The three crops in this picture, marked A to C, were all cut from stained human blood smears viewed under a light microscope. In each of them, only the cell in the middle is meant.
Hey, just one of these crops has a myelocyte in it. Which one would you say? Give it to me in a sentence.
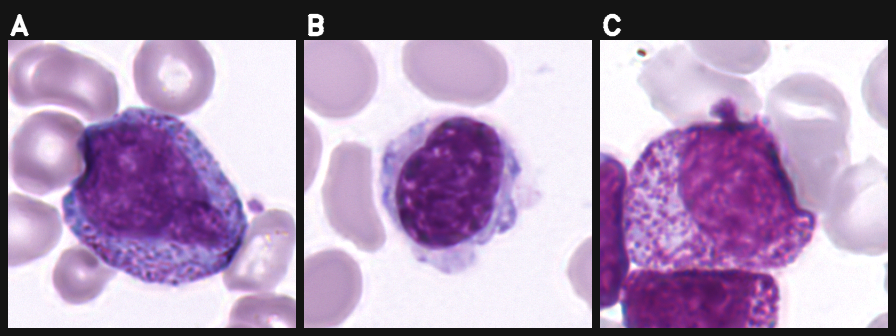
Among all the crops given here, the one with a myelocyte is crop C.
